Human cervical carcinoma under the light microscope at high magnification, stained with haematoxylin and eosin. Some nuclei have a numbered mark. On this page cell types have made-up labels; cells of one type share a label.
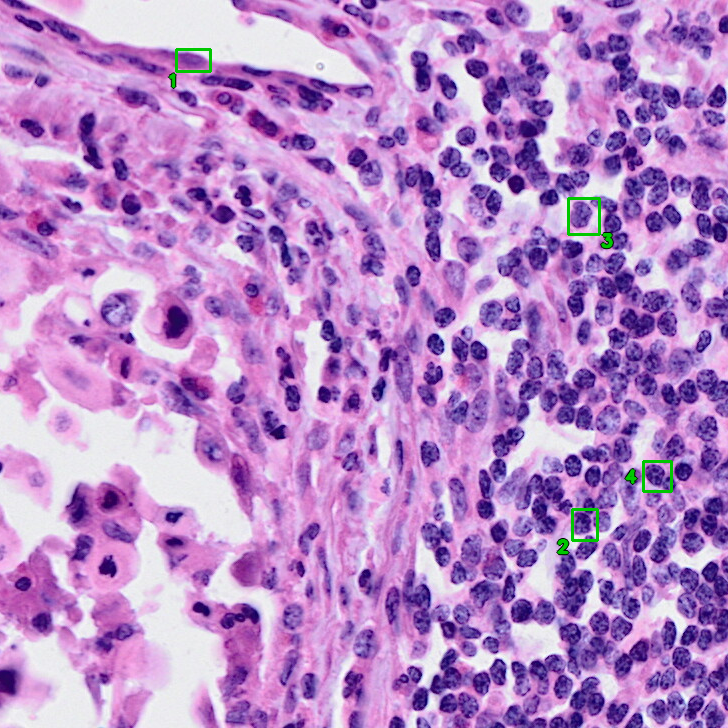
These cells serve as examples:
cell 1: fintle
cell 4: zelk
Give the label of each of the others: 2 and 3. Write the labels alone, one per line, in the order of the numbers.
zelk
zelk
